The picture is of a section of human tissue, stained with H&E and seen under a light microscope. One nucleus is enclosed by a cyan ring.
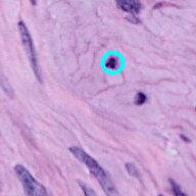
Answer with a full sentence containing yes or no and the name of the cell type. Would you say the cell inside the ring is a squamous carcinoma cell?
No, the cell inside the ring is not a squamous carcinoma cell; the correct answer is a fibroblast.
